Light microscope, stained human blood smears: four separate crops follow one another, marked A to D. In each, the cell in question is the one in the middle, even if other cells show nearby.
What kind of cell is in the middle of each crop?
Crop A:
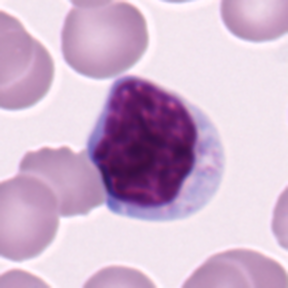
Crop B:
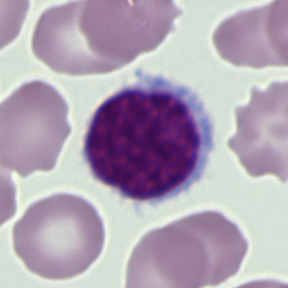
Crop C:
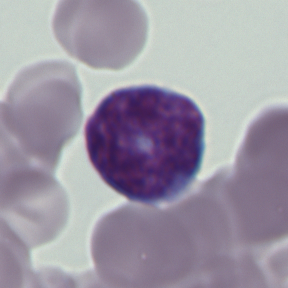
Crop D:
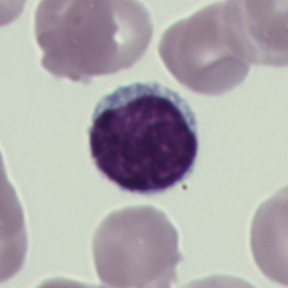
A: typical lymphocyte
B: hairy cell
C: typical lymphocyte
D: typical lymphocyte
